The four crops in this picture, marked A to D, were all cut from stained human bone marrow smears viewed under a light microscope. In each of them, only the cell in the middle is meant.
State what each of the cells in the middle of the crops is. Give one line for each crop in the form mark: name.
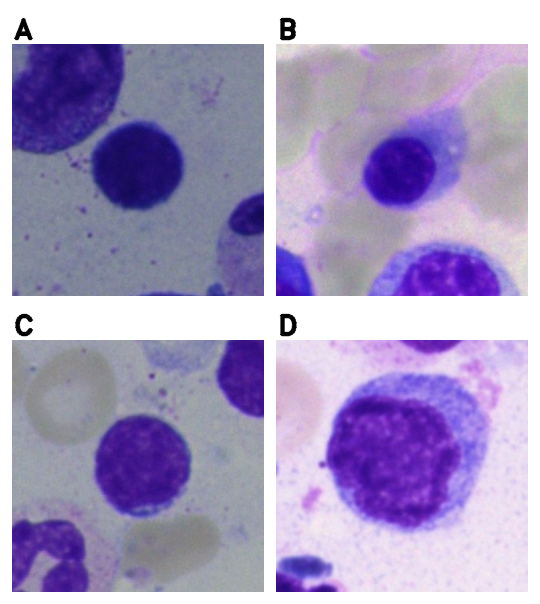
A: lymphocyte
B: erythroblast
C: lymphocyte
D: blast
